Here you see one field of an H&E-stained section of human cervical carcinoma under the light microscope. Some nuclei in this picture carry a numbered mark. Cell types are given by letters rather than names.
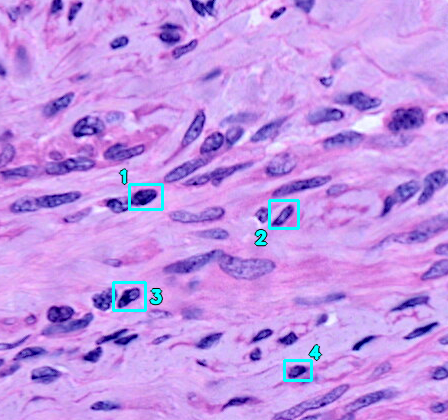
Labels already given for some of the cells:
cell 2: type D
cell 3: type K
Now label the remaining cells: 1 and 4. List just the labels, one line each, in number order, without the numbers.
type K
type D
